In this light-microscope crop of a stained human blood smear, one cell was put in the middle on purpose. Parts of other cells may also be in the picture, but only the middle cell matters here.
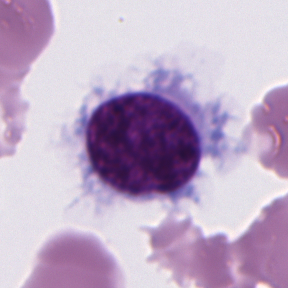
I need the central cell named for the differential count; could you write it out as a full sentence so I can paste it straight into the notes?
At the center of the crop sits a hairy cell.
